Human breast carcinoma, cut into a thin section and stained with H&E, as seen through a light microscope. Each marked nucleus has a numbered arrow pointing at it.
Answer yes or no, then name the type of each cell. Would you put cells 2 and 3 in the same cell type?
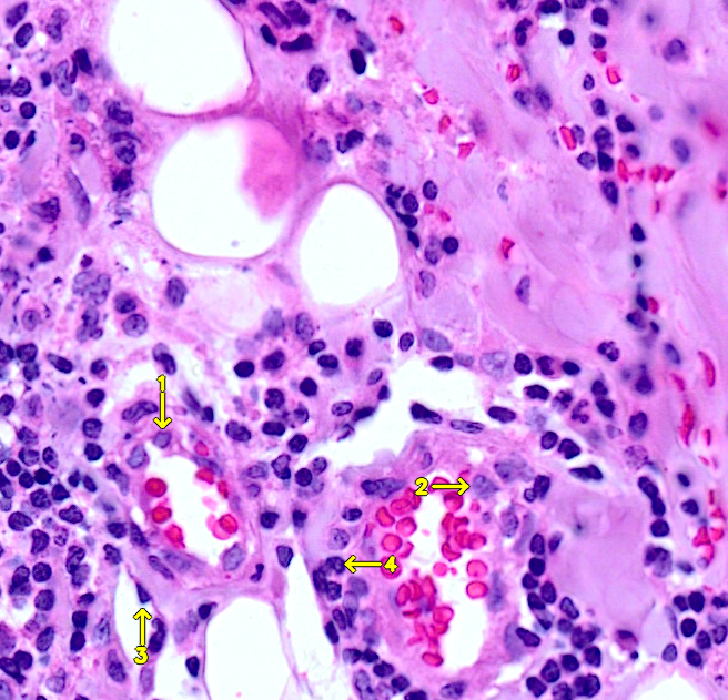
No, cell 2 is an endothelial cell and cell 3 is a lymphocyte.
